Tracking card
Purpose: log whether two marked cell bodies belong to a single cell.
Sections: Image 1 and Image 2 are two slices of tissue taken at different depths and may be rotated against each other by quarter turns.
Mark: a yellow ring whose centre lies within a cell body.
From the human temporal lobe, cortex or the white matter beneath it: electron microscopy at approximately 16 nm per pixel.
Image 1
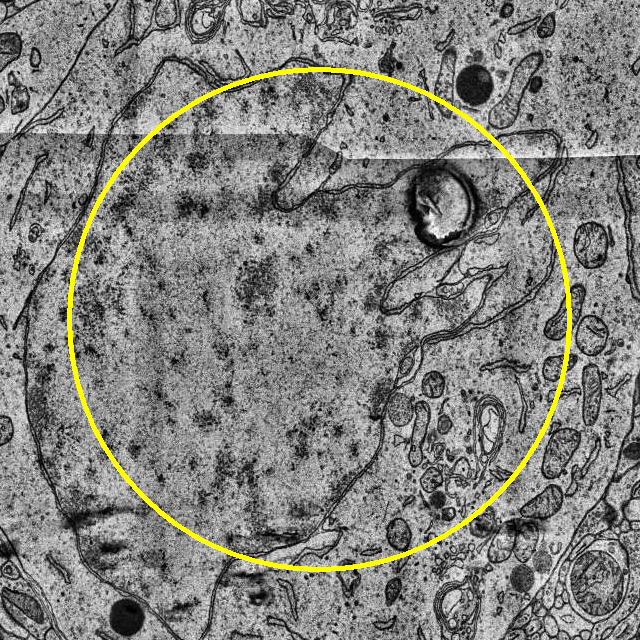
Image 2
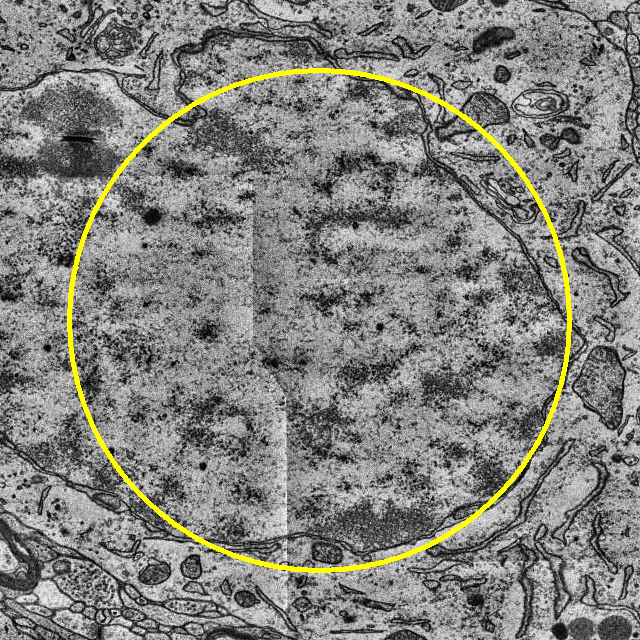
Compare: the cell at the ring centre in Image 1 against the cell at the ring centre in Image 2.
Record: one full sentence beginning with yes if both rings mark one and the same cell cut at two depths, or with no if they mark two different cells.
No, the rings single out two cells that are separate from each other.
